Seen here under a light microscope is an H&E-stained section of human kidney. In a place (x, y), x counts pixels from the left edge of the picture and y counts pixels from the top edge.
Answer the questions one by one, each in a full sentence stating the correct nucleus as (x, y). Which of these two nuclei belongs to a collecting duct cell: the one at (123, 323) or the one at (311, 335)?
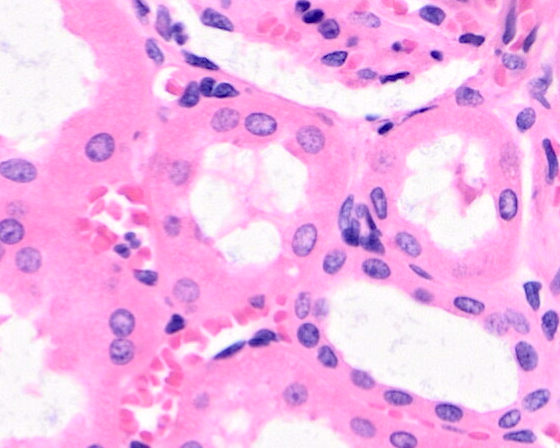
The one at (311, 335) is the nucleus belonging to a collecting duct cell, not the other one.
